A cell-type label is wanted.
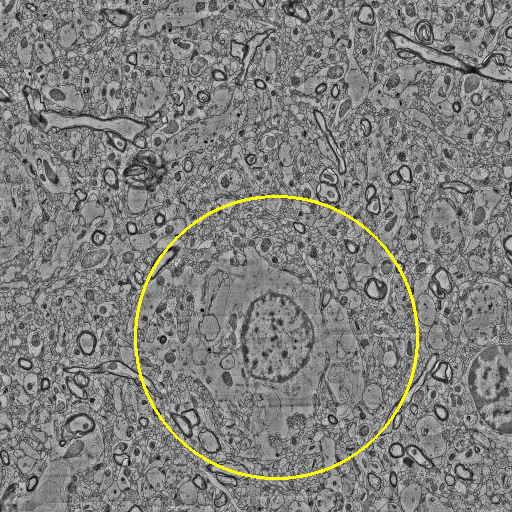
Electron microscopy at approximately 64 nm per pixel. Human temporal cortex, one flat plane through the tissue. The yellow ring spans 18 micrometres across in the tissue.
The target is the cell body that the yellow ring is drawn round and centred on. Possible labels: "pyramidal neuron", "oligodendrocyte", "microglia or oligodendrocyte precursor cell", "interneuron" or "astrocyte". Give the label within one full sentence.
Of the labels offered, the cell in the middle of the yellow ring is an astrocyte.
